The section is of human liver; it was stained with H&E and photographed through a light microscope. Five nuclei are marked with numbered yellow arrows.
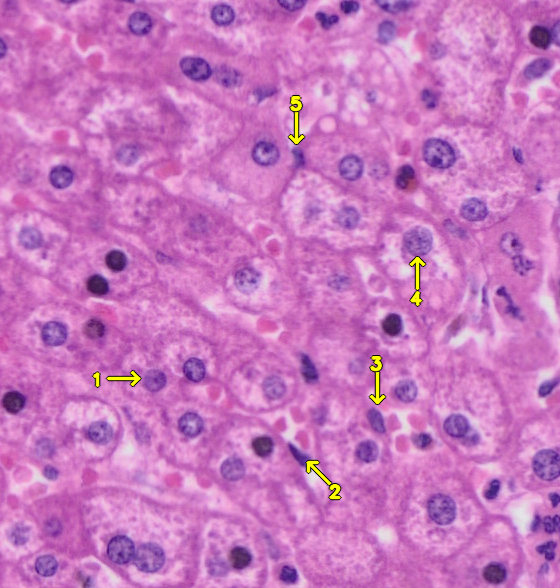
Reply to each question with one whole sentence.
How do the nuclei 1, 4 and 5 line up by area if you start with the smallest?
The order from the smallest nucleus to the largest is 5, 1, 4.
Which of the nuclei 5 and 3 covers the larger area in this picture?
Of the two, number 3 is bigger and takes up about 1.5 times the area of number 5.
